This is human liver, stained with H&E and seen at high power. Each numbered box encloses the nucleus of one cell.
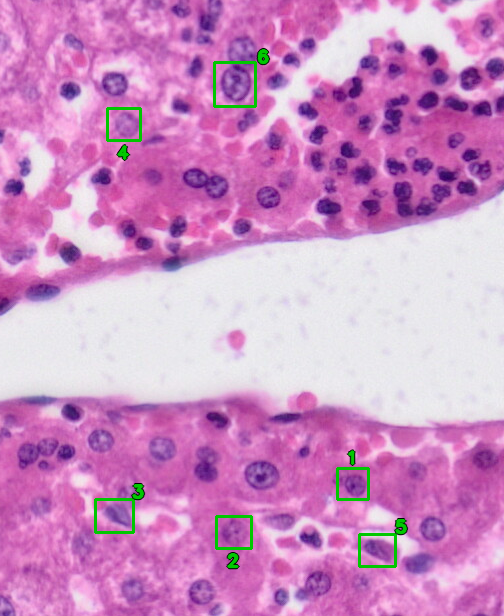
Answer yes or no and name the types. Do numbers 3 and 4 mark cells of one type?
No, cell 3 is classed as an endothelial cell and cell 4 as a hepatocyte.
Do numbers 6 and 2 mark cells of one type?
Yes, cells 6 and 2 both fall under hepatocytes.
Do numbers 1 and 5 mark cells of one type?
Yes, in the case of cells 1 and 5, both are Kupffer cells.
